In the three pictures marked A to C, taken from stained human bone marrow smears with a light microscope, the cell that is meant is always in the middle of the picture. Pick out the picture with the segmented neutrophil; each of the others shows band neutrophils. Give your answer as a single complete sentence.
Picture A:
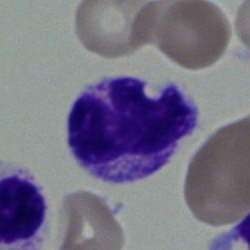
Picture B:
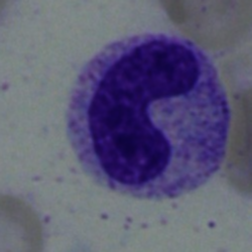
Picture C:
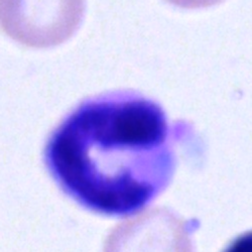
The picture with the segmented neutrophil is A.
